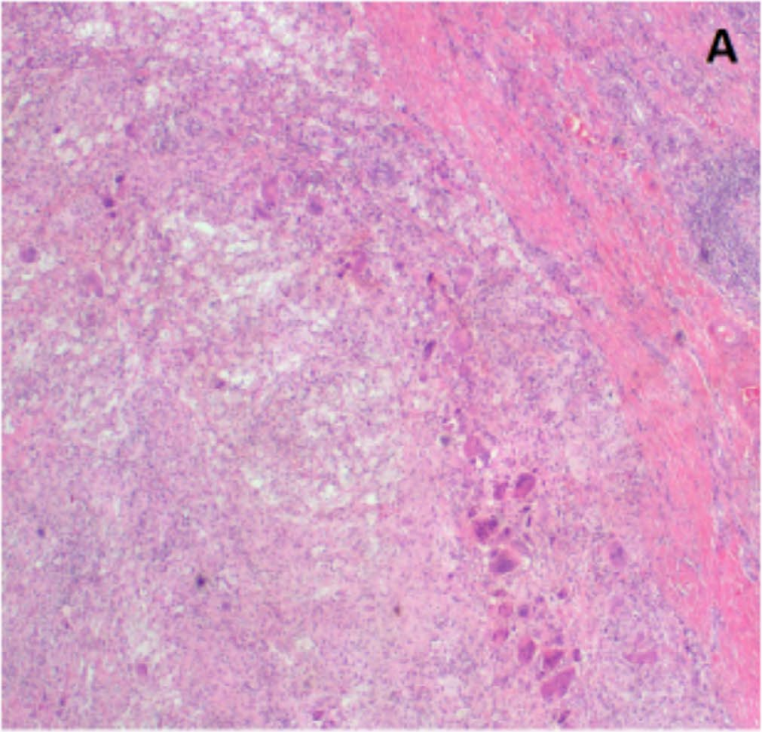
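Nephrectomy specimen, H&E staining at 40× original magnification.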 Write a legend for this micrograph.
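Low-power view of kidney tissue with a zoned inflammatory lesion. On the left are pale, vacuolated areas of foamy cells mixed with pink cellular tissue. In the centre lies a band of many large, deeply stained, multinucleated giant cells. A thick band of dense, bright pink fibrous tissue crosses the upper right of the field. Beyond the fibrous band, at the right edge, is a dense blue cluster of small inflammatory cells. No normal renal architecture is recognisable.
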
